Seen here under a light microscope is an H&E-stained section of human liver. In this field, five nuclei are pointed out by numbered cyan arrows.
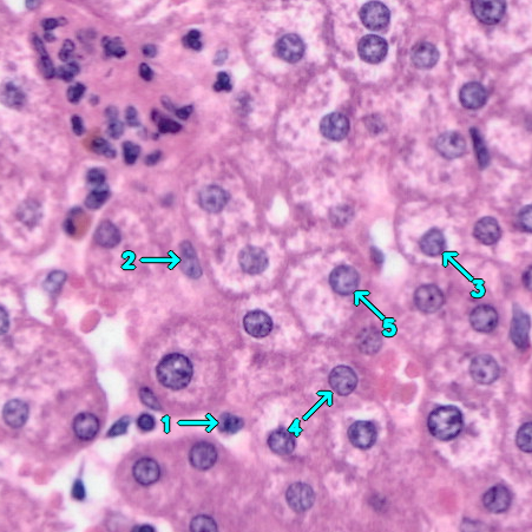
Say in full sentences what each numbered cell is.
Cell 1 is a lymphocyte, cell 2 is a Kupffer cell, cell 3 is a hepatocyte, cell 4 is a hepatocyte and cell 5 is a hepatocyte.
